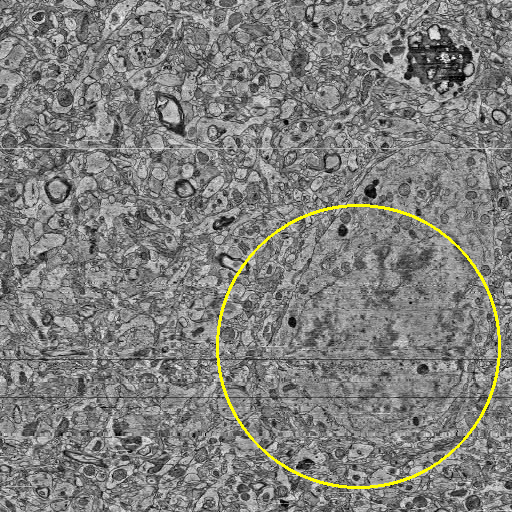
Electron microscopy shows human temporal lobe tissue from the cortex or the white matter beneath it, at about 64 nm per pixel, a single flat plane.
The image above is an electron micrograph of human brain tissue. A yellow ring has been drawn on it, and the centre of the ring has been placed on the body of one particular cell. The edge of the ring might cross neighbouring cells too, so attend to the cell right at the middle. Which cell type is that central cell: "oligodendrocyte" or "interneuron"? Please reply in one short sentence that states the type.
The central cell in the ring is an interneuron.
